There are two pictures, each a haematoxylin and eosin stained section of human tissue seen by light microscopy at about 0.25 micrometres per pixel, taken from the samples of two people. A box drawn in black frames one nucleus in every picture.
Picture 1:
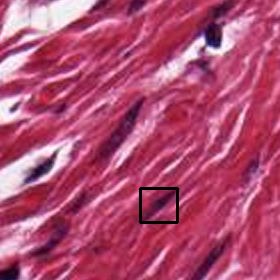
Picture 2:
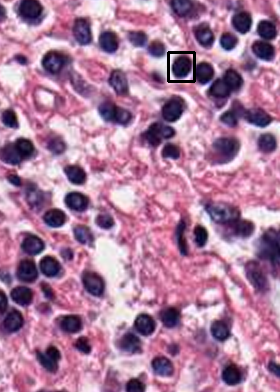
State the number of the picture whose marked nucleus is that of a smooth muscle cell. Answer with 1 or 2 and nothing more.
1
